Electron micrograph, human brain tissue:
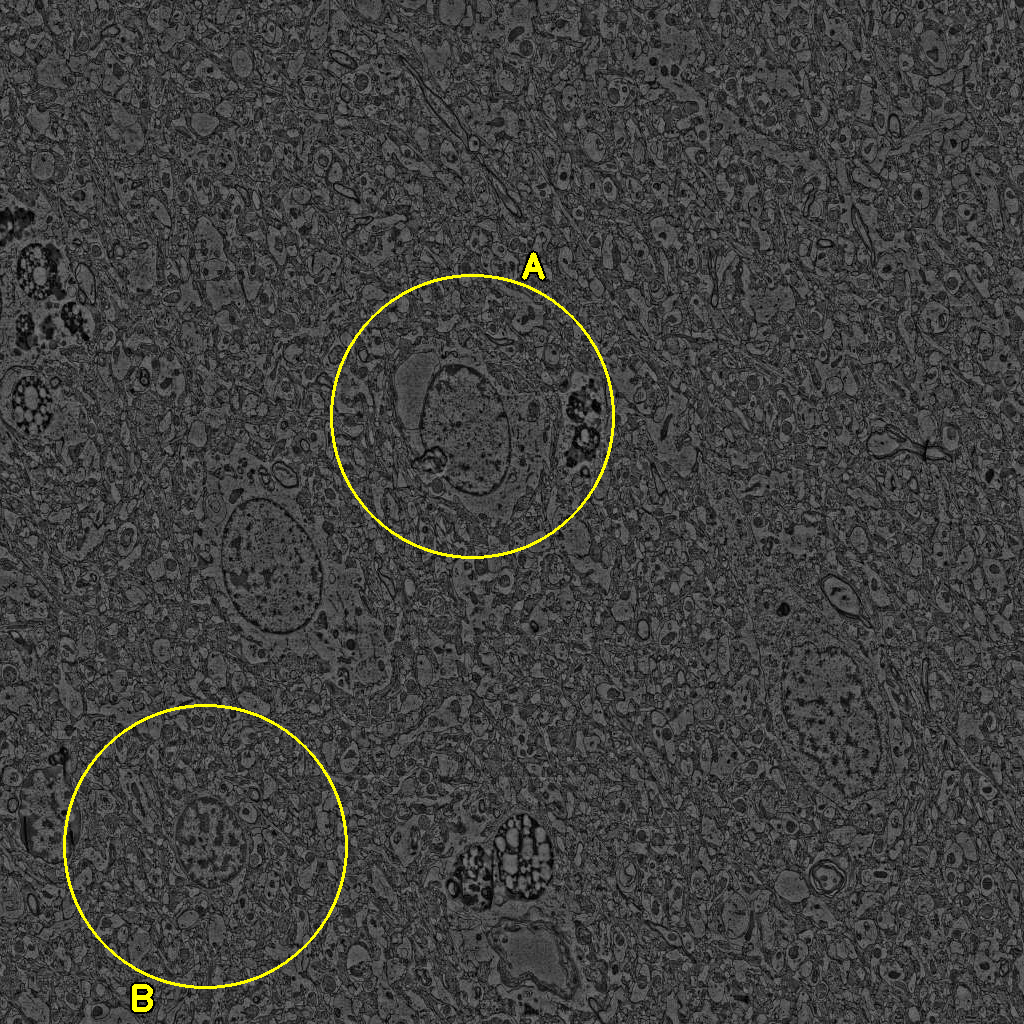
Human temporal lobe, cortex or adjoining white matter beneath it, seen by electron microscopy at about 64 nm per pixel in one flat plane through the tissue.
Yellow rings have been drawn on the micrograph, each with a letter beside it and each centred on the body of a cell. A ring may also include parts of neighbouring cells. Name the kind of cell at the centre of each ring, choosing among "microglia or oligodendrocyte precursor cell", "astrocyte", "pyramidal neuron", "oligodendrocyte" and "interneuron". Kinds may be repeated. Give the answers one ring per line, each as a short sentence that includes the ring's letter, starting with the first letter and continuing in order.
Ring A is placed on an astrocyte.
Ring B is placed on an oligodendrocyte.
